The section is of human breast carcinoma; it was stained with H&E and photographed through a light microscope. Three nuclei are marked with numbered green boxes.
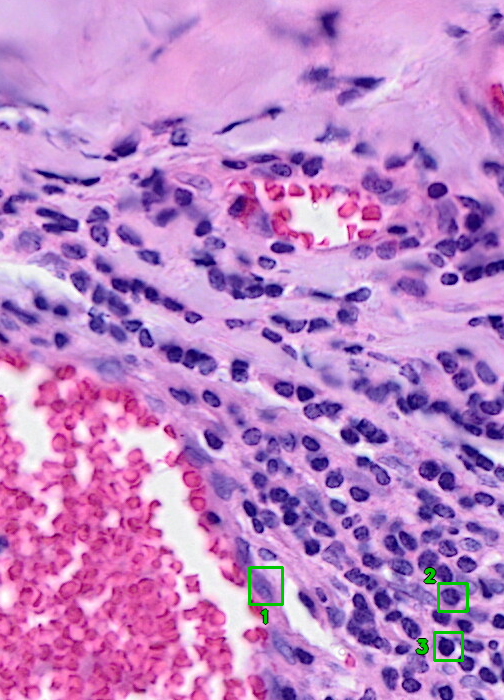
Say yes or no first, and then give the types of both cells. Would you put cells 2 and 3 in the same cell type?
Yes, as for cells 2 and 3, both are lymphocytes.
